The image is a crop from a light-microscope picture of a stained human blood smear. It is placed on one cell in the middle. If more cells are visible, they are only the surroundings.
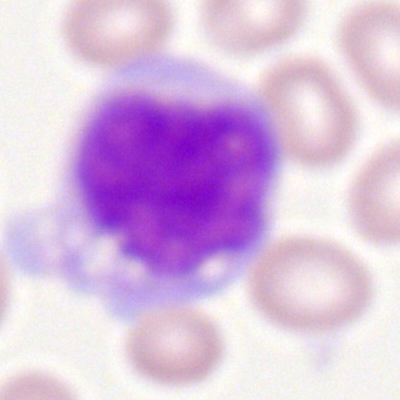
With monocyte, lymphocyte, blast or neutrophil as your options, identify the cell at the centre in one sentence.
In the crop, the cell of interest at the centre is a monocyte.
